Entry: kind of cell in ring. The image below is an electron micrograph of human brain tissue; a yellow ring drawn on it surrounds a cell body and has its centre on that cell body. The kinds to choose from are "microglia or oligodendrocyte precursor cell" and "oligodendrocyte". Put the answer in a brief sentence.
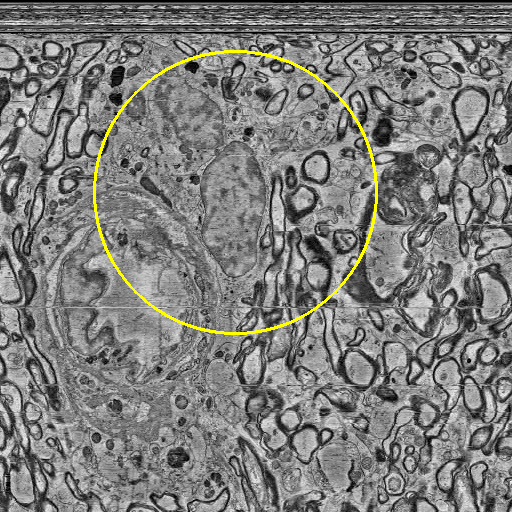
The ring has been drawn around a microglial cell or oligodendrocyte precursor cell.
